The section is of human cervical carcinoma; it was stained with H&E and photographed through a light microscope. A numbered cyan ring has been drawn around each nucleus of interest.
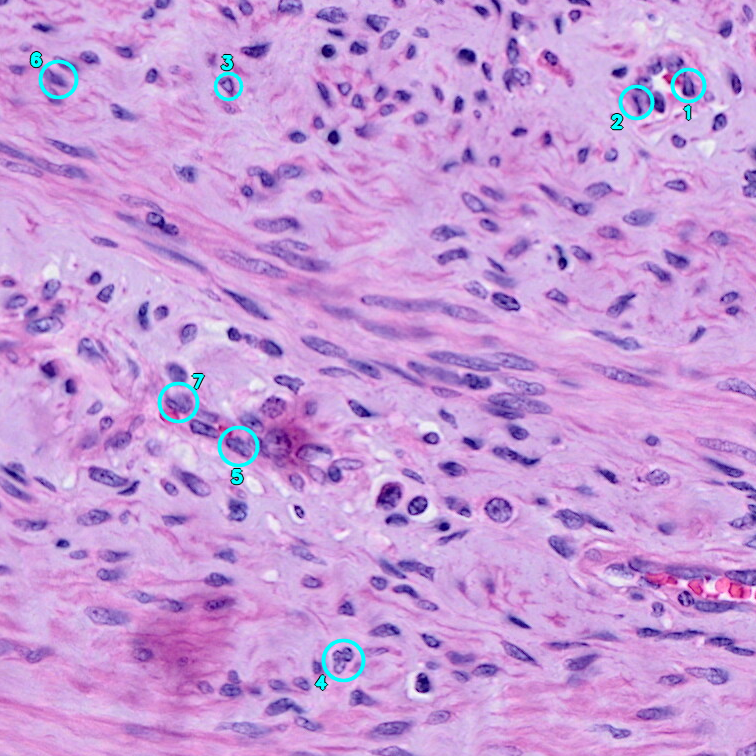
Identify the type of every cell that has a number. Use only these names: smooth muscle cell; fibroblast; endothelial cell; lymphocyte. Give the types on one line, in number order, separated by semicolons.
endothelial cell; endothelial cell; smooth muscle cell; lymphocyte; endothelial cell; smooth muscle cell; endothelial cell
